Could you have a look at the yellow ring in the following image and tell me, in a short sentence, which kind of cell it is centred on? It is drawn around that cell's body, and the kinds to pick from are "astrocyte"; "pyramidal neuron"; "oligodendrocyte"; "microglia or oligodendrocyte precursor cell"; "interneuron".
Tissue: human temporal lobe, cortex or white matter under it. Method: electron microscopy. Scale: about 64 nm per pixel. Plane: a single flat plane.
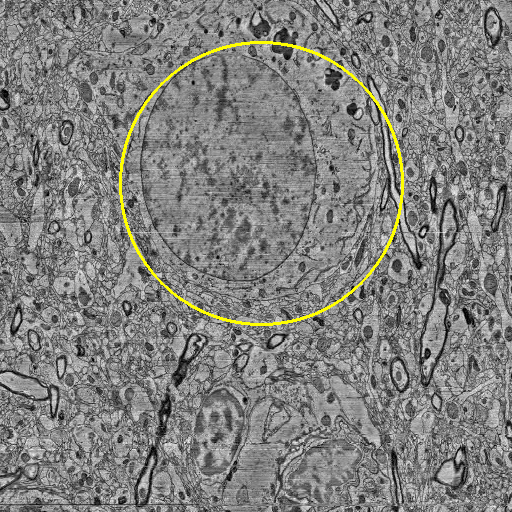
The ring is centred on the body of a pyramidal neuron.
